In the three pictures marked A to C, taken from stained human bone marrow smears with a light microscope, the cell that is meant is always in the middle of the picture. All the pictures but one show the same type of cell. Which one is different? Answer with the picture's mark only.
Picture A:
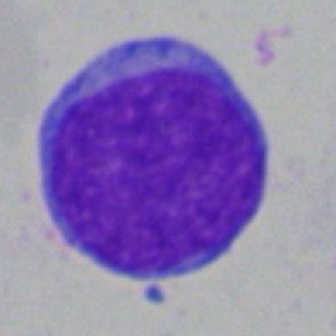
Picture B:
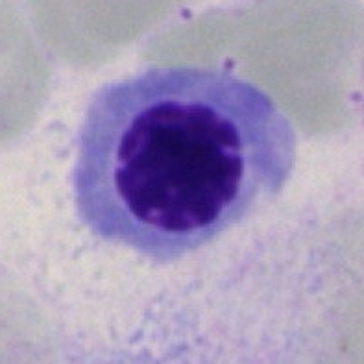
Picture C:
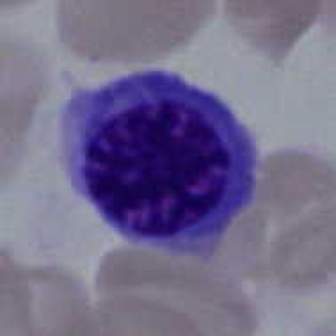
A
